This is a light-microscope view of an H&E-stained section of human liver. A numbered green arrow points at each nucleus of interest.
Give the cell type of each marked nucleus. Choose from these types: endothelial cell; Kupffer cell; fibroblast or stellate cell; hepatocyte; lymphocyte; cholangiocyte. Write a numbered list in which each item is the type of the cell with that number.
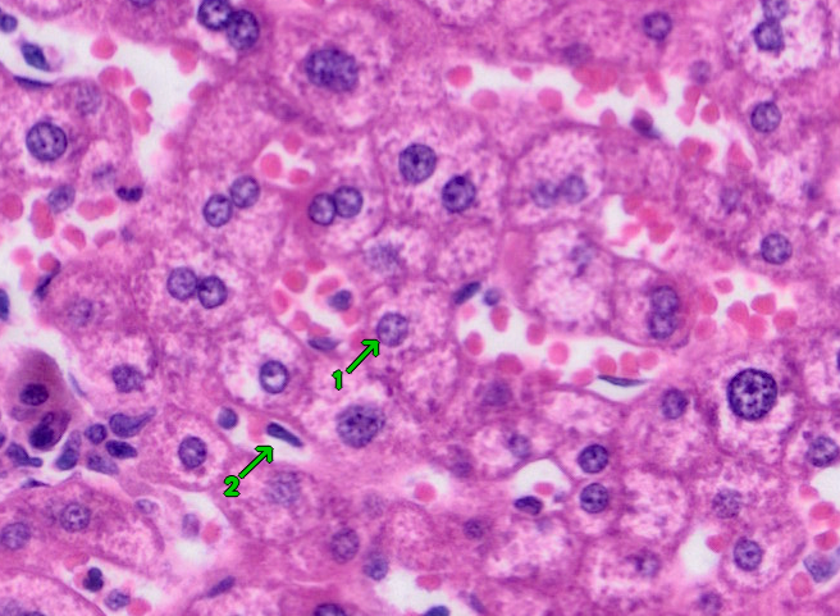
1. hepatocyte
2. lymphocyte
